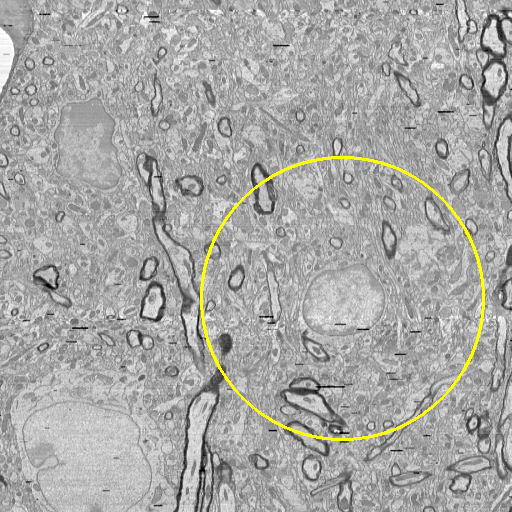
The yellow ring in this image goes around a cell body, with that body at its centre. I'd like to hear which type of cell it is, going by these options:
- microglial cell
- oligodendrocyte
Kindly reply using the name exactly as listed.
oligodendrocyte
